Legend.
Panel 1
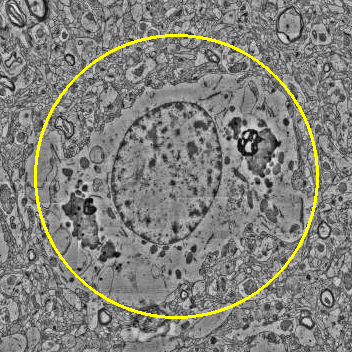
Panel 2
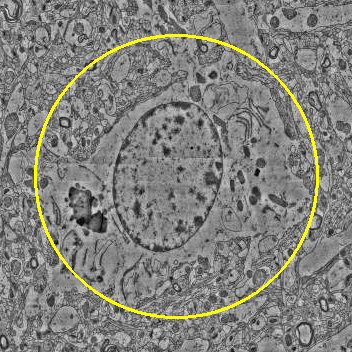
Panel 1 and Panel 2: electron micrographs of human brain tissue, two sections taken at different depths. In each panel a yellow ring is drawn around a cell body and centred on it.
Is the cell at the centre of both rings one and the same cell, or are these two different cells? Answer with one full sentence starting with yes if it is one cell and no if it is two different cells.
Yes, the two rings encircle a single cell, not a pair.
